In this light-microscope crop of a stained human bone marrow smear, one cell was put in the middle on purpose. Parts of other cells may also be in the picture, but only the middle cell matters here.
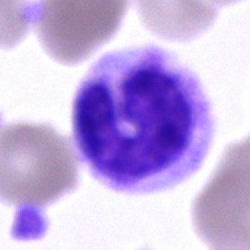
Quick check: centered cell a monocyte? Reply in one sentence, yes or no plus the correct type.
No, the cell centered in the crop is a band neutrophil, not a monocyte.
